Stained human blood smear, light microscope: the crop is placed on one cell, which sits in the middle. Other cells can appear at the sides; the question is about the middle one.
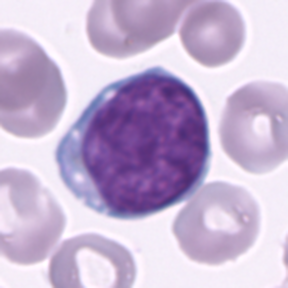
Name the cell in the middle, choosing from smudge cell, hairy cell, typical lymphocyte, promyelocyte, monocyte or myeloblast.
myeloblast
